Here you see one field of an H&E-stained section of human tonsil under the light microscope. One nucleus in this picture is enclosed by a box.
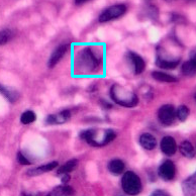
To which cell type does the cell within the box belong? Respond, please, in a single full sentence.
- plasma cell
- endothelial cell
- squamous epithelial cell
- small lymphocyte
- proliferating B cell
Cell type answer for this item: the cell within the box is a squamous epithelial cell.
